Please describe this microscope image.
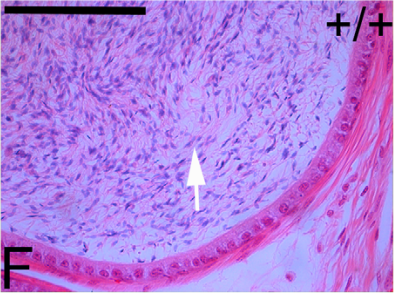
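Part of an epididymal tubule is seen, lined by a tall columnar epithelium with a thin pink layer of surrounding smooth muscle and connective tissue. The lumen is densely filled with small, dark purple, elongated sperm nuclei lying in swirls. Between them run fine pale threads, the sperm tails, giving the lumen a streaming texture. This is a tubule packed with mature sperm.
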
